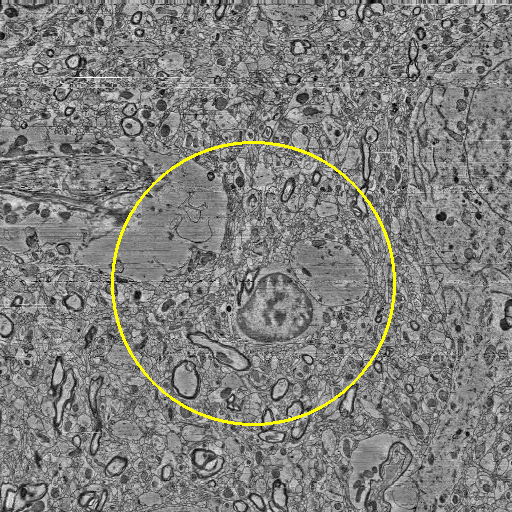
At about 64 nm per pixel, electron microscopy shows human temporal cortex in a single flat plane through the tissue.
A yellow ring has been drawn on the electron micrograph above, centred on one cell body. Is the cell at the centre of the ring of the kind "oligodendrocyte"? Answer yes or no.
yes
